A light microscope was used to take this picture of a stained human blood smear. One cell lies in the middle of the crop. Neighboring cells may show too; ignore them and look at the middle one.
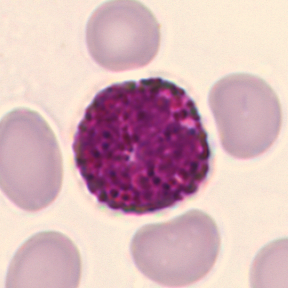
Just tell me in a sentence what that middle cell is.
By classification, the middle cell of this crop is a basophil.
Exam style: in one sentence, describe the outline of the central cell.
The cell shows a smooth outline that lacks any surface projections.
